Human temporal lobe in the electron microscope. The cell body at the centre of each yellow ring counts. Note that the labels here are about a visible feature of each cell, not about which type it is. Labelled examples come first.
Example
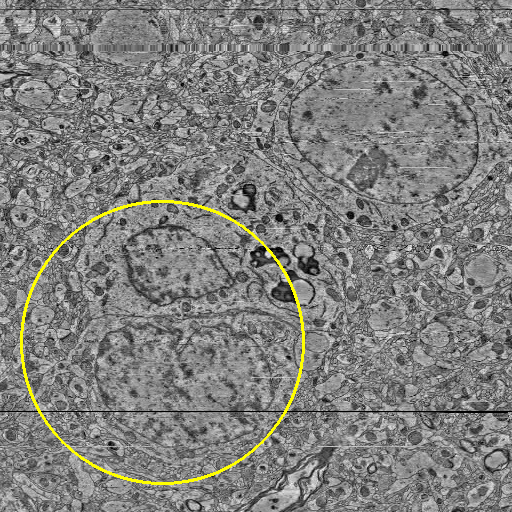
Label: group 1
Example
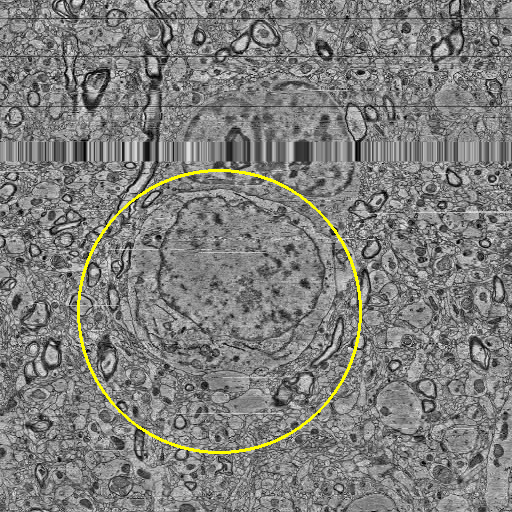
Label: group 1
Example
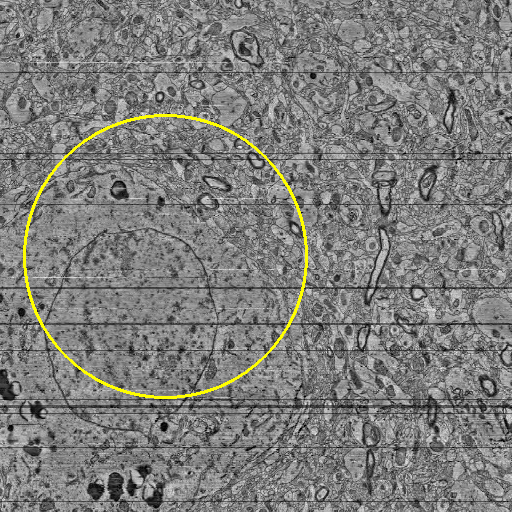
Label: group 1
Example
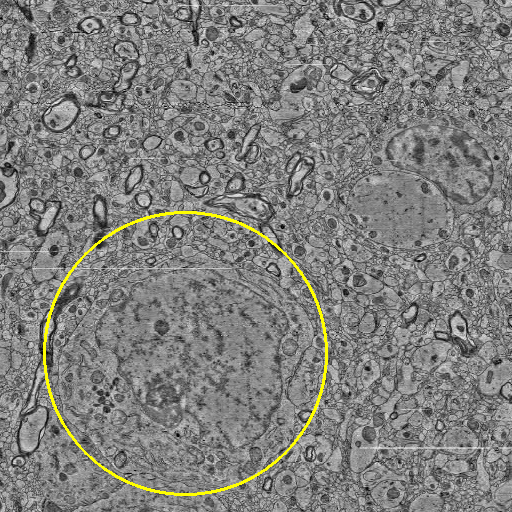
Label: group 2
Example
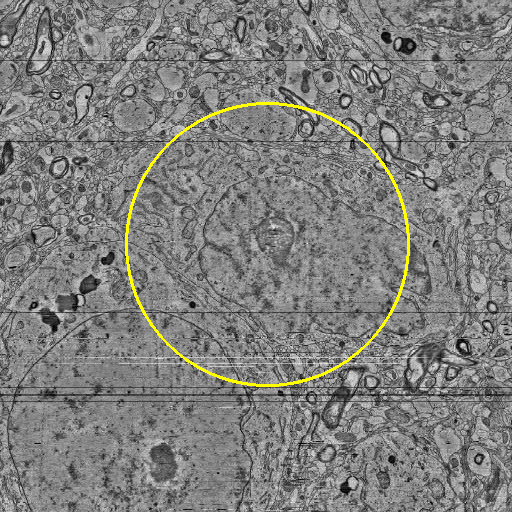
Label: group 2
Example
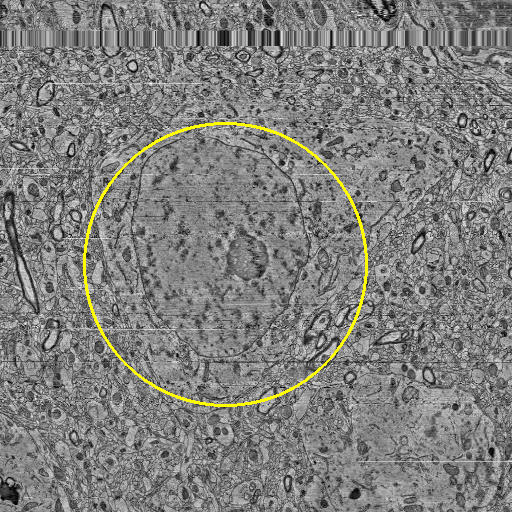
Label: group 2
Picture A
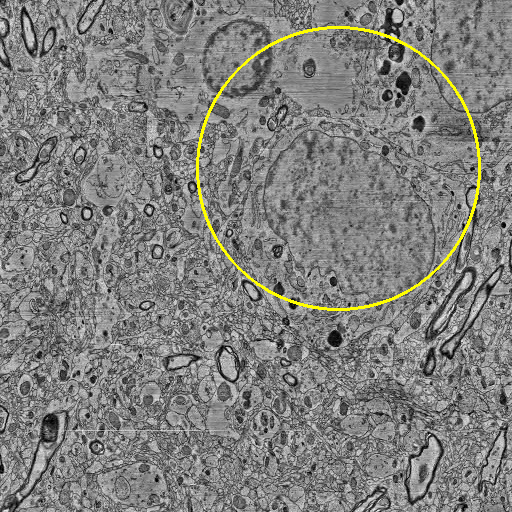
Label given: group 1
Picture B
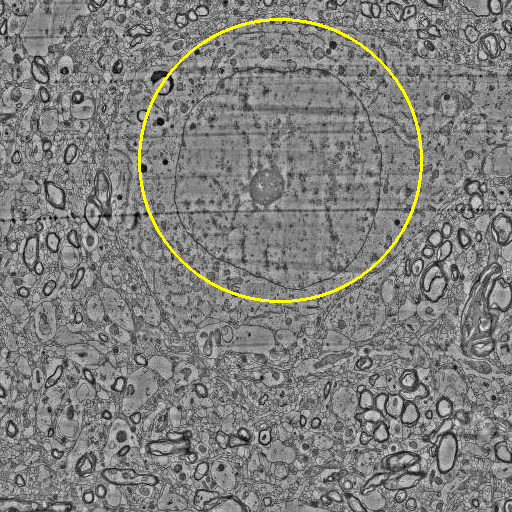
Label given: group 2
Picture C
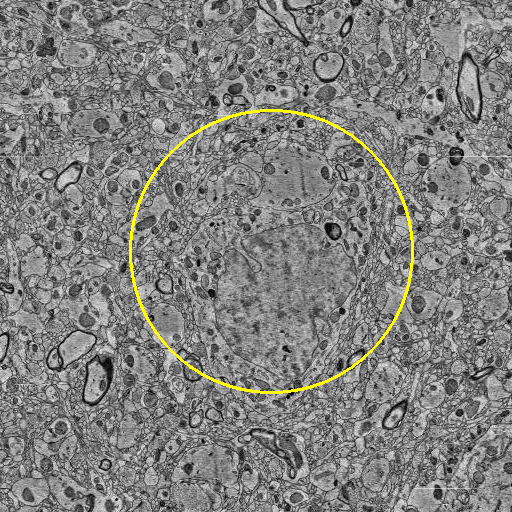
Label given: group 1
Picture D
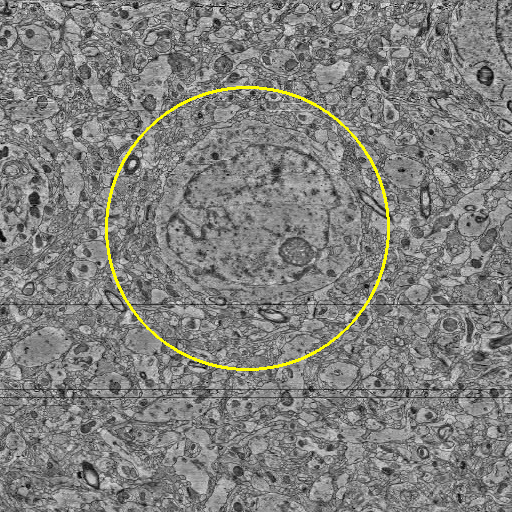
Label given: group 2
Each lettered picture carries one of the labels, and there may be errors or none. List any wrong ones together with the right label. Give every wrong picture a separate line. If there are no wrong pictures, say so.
Every label is right.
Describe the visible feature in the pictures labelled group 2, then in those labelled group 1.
group 2, nucleolus seen; group 1, no nucleolus seen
